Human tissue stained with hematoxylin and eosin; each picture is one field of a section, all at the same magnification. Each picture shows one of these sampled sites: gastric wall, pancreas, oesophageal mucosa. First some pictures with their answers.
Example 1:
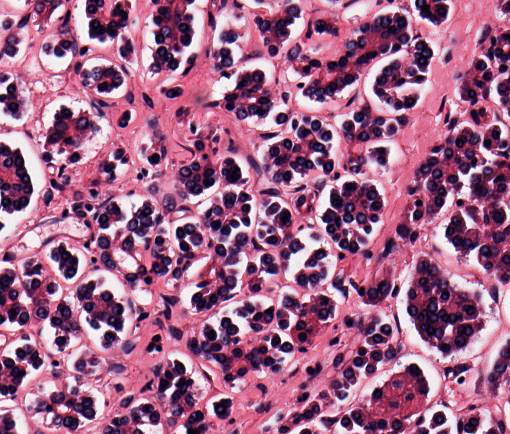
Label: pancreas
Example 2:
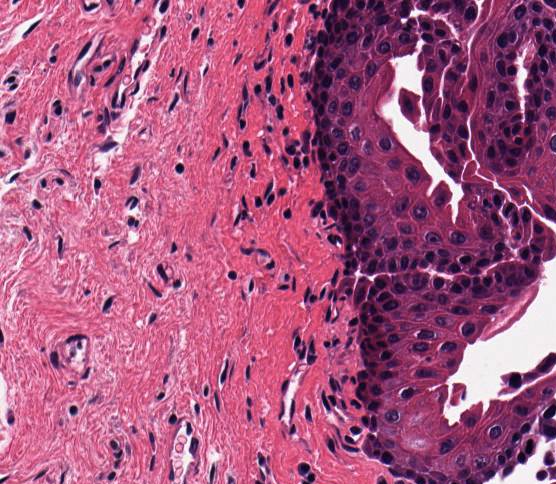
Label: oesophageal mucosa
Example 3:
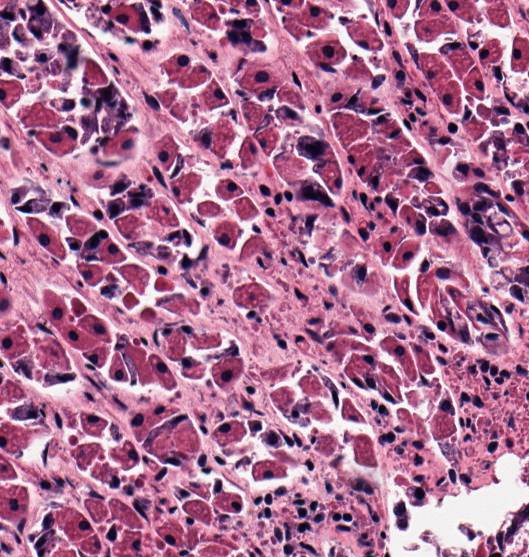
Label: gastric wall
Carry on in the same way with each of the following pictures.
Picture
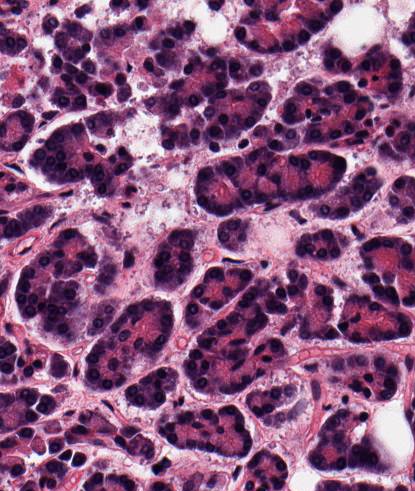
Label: pancreas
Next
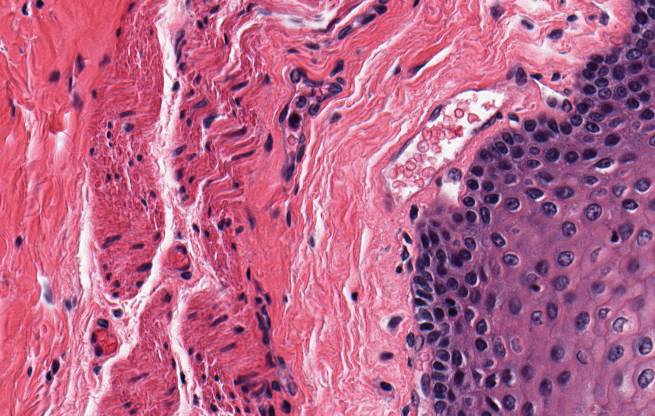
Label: oesophageal mucosa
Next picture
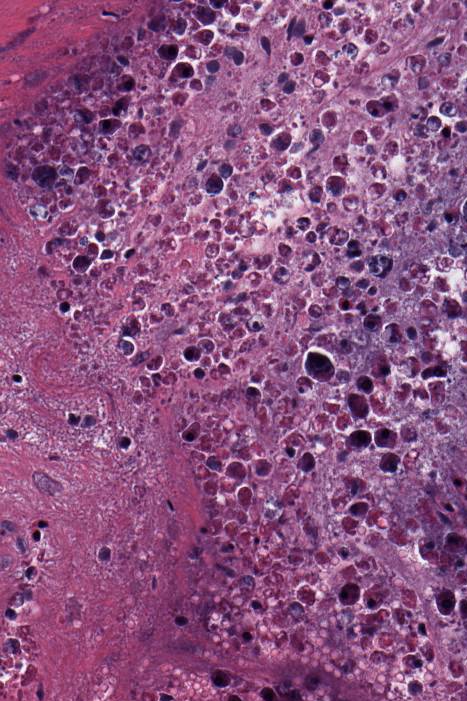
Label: pancreas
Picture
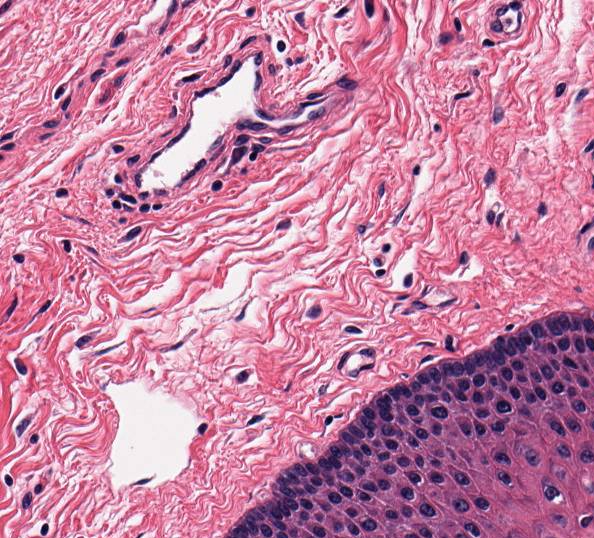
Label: oesophageal mucosa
